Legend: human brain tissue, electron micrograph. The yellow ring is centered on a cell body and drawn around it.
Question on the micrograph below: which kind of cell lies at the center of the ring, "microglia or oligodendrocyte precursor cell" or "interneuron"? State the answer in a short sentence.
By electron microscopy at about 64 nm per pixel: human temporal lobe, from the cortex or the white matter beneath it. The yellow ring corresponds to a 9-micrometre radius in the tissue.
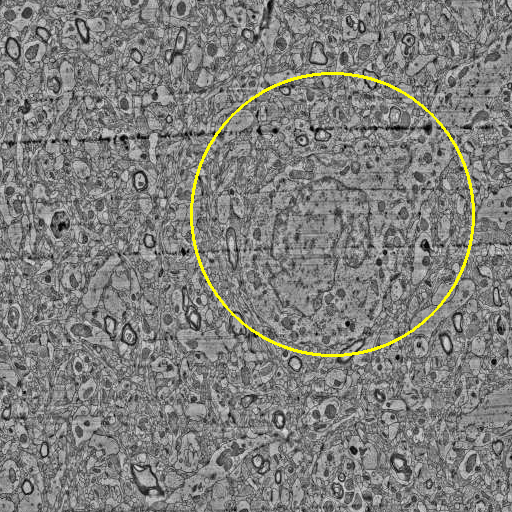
At the center of the ring lies an interneuron.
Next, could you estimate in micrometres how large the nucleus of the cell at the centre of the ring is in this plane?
In this plane, roughly 9 by 6 micrometres.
